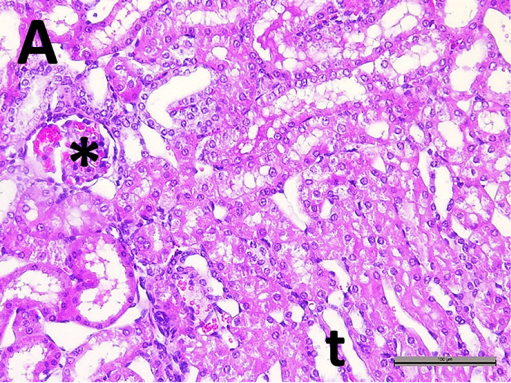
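Kidney cortex stained pink and purple, showing a glomerulus at the upper left: a rounded tuft of capillary loops and cells with some red blood cells, surrounded by a thin capsule and a narrow clear space. No clusters of inflammatory cells or material in the lumens are seen, the architecture of a normal kidney.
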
